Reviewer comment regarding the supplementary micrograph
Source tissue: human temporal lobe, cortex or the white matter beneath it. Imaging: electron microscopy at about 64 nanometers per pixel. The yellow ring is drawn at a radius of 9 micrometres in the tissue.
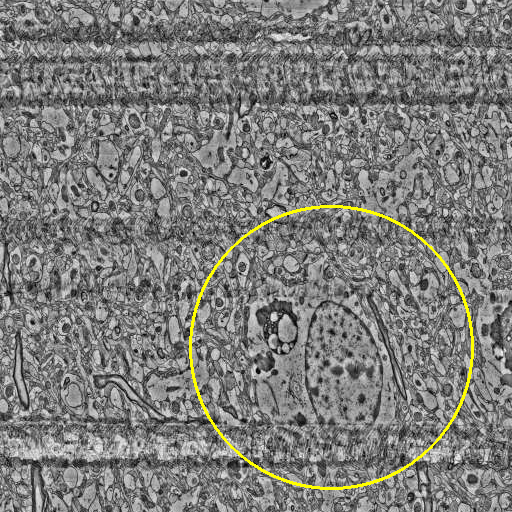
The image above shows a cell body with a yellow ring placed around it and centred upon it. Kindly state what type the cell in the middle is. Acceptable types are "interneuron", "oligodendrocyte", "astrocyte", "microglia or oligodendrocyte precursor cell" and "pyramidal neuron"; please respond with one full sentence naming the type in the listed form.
In the image above, the cell on which the yellow ring is centred is an astrocyte.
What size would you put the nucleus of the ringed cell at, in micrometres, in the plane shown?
Roughly 9 by 5 micrometres; in this plane, clearly longer than it is wide.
